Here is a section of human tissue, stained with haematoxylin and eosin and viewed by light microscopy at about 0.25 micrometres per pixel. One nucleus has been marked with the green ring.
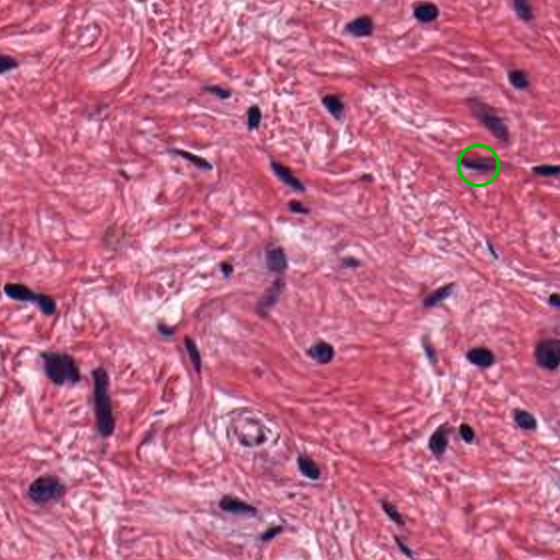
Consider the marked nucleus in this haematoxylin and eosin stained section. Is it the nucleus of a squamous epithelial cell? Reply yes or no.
no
